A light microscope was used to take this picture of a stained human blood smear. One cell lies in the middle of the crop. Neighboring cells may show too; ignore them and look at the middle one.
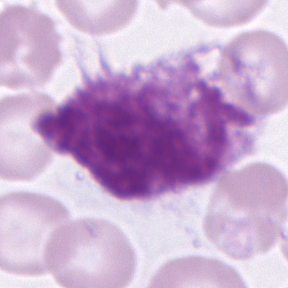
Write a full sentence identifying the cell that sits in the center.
The middle of this crop is occupied by a smudge cell.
